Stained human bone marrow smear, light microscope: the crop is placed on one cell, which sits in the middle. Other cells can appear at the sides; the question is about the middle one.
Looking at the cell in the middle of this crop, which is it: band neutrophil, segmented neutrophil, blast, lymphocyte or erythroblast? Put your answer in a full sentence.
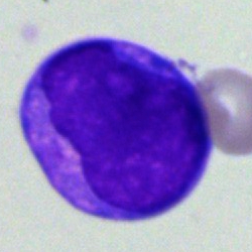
The cell occupying the middle of the crop is a blast.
